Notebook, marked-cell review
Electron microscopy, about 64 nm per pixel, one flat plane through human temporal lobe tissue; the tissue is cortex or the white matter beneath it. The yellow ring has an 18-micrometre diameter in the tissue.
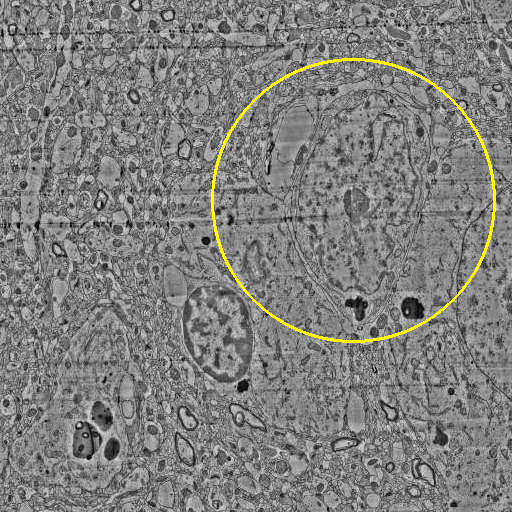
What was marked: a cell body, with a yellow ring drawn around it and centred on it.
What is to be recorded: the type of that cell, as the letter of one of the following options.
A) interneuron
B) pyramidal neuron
A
